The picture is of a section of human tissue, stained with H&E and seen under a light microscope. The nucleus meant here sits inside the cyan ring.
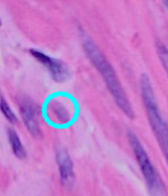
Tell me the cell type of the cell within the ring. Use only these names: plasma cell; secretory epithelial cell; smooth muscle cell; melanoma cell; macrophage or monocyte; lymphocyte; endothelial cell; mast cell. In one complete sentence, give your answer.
Histopathologically, the cell within the ring is a smooth muscle cell.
